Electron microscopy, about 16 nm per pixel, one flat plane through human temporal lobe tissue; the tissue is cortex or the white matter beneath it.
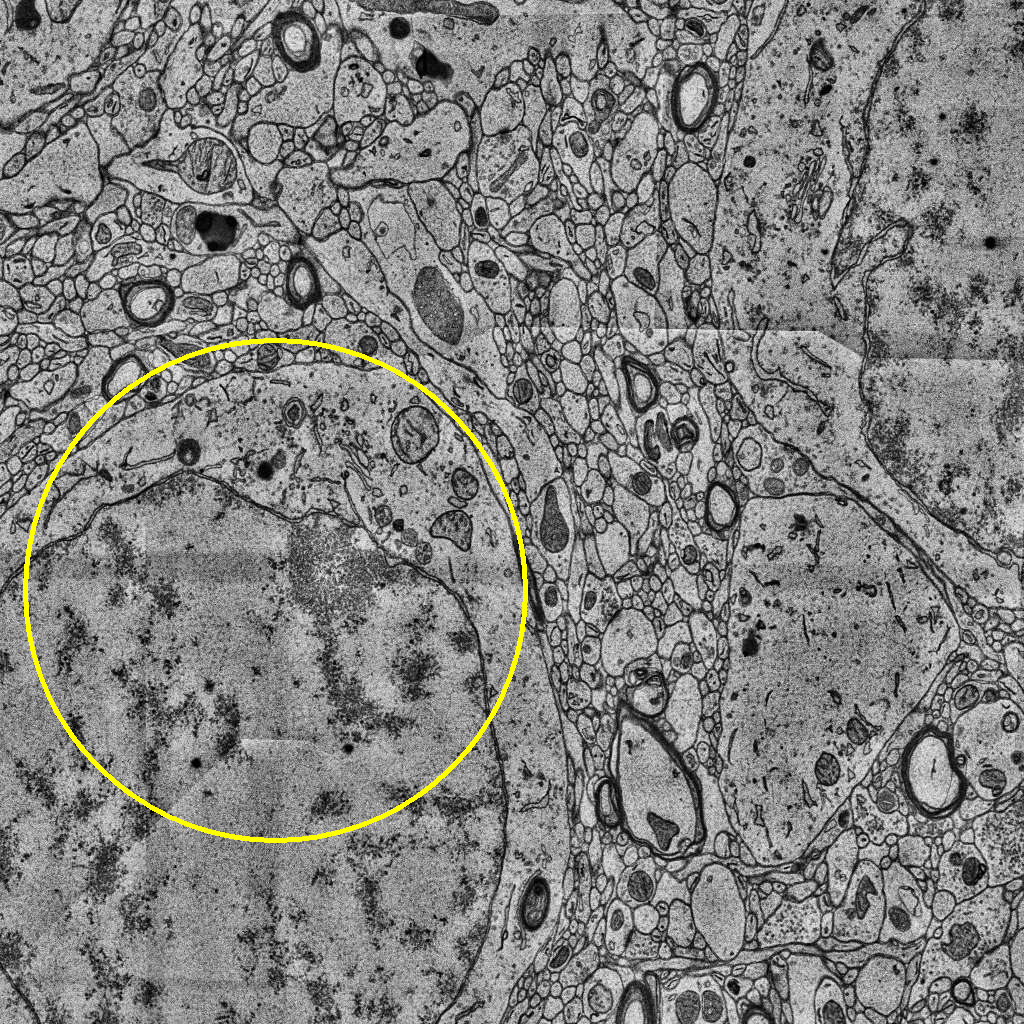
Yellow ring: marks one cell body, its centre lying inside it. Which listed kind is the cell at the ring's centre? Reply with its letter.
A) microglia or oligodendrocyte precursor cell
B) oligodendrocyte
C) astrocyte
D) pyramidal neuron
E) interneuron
D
